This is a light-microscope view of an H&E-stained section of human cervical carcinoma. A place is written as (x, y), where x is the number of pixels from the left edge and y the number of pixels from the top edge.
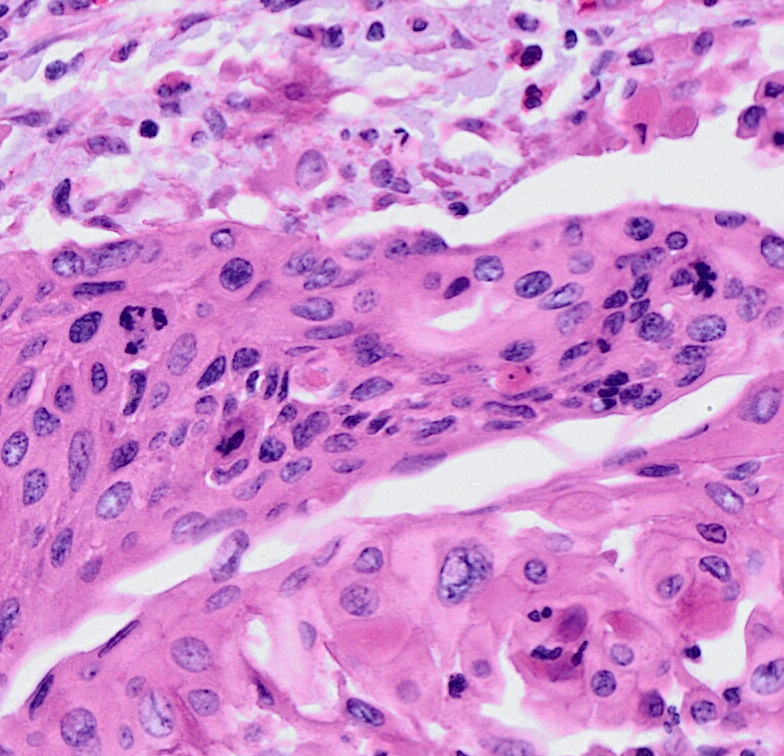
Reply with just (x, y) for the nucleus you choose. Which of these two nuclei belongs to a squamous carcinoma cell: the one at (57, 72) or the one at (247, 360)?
(247, 360)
